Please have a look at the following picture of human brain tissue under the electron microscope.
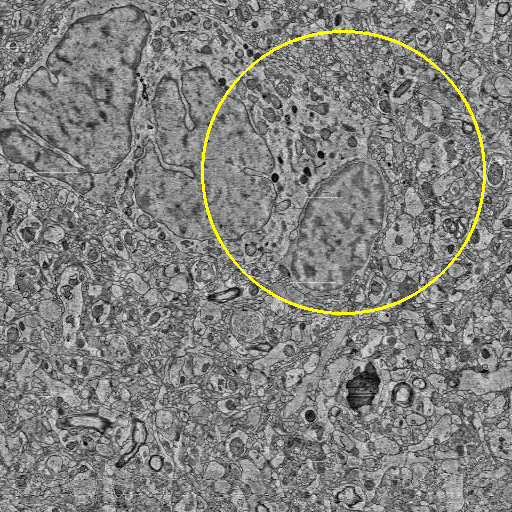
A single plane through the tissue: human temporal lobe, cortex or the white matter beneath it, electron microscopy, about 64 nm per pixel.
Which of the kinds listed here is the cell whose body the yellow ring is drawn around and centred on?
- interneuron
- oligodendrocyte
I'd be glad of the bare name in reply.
oligodendrocyte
